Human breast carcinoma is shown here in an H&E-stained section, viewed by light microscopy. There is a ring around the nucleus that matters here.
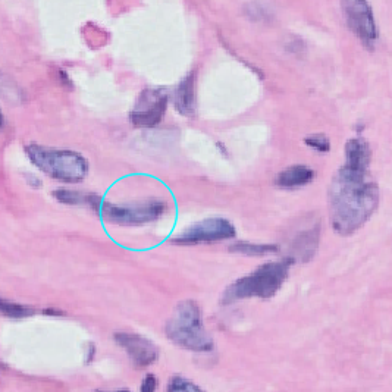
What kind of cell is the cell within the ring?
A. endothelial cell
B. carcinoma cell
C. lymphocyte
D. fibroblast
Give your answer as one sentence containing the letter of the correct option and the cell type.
It is option A that is correct, the cell within the ring being an endothelial cell.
